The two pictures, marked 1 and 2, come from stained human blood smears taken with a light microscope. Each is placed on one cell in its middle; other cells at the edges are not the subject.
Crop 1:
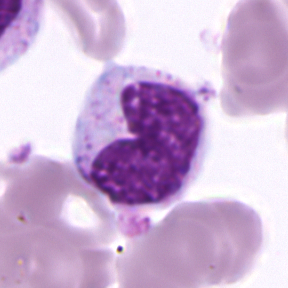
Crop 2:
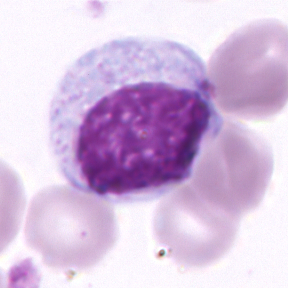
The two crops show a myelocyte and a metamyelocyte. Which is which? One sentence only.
What is seen in crop 1 is a metamyelocyte; what is seen in crop 2 is a myelocyte.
